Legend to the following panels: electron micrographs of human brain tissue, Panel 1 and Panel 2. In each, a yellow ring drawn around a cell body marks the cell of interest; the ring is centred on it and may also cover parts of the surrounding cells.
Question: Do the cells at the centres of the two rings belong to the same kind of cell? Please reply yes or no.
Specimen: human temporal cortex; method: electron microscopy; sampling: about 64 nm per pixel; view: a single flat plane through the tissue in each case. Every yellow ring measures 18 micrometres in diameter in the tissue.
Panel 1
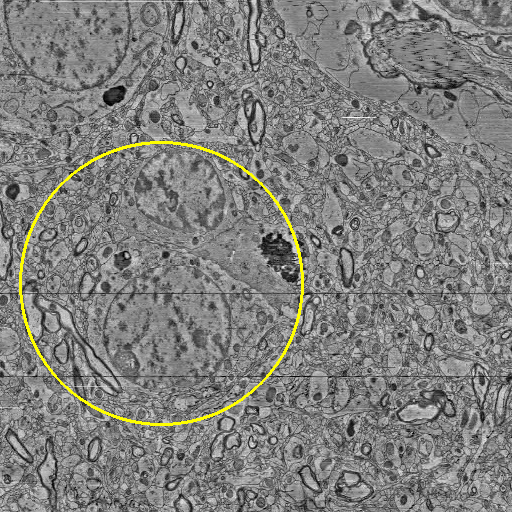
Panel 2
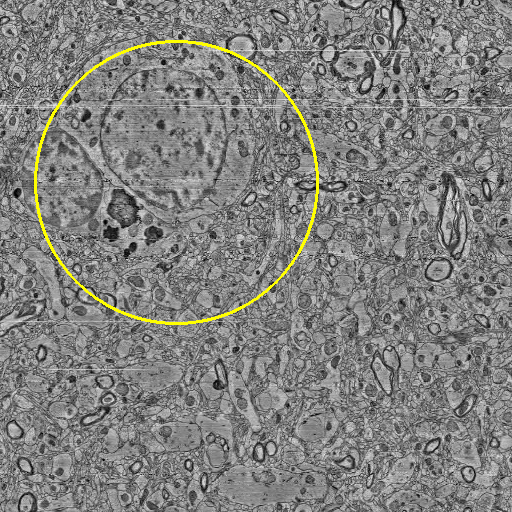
yes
